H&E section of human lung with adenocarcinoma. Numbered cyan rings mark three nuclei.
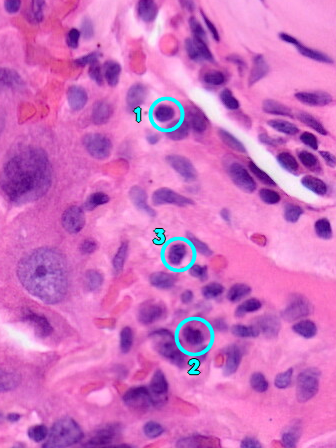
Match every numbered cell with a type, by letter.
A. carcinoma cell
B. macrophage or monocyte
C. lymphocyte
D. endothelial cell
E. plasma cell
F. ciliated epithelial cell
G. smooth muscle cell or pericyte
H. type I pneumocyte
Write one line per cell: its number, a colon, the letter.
1: C
2: E
3: C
